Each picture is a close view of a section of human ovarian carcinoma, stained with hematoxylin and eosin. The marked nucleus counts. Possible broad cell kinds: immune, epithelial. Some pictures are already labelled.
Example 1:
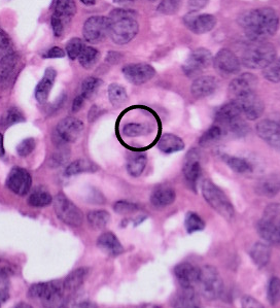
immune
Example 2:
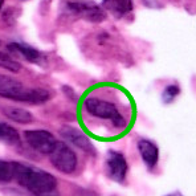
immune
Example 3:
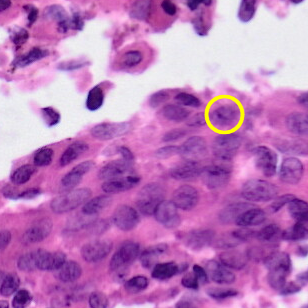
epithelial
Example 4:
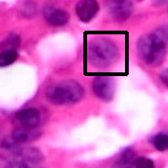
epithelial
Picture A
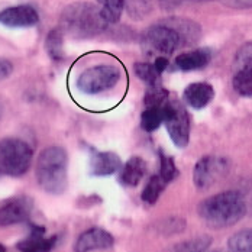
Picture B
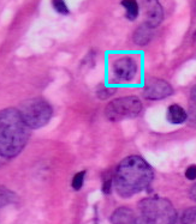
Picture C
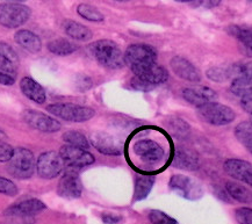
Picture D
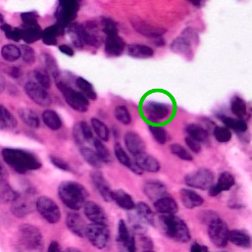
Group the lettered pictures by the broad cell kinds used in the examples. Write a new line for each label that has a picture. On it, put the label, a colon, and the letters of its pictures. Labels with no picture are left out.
immune: A, B, C
epithelial: D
